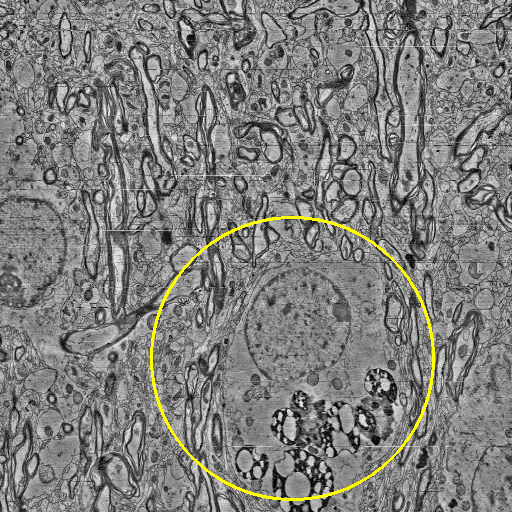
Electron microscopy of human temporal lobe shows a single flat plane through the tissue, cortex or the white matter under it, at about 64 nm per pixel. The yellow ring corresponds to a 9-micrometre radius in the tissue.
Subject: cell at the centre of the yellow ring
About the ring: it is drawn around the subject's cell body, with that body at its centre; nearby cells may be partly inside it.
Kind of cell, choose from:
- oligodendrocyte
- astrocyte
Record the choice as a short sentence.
The subject cell is an astrocyte.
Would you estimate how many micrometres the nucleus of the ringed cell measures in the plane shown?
In this plane, the nucleus of the cell at the centre of the ring is about 7 micrometres across.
